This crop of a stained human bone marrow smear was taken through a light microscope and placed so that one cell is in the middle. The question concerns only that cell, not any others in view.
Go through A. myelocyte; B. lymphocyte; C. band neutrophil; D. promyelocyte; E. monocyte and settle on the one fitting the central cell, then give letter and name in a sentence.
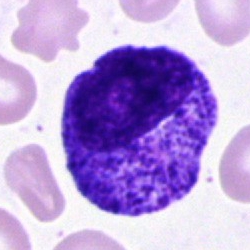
What sits in the middle of the crop is a promyelocyte, and option D is correct.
